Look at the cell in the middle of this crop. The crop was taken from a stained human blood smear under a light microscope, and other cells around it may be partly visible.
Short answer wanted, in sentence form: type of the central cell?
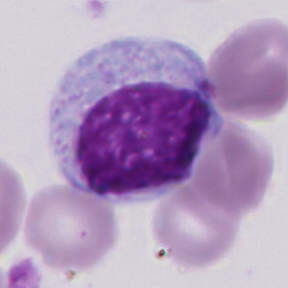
For this crop, the central cell is a myelocyte.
